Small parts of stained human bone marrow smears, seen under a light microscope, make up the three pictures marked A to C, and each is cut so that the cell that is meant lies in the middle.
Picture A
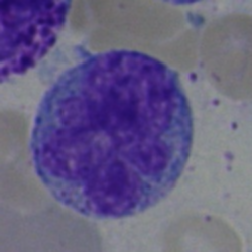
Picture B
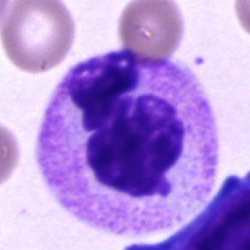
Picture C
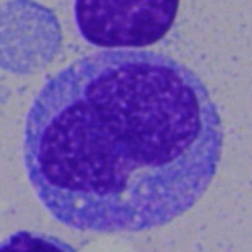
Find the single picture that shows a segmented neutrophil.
B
